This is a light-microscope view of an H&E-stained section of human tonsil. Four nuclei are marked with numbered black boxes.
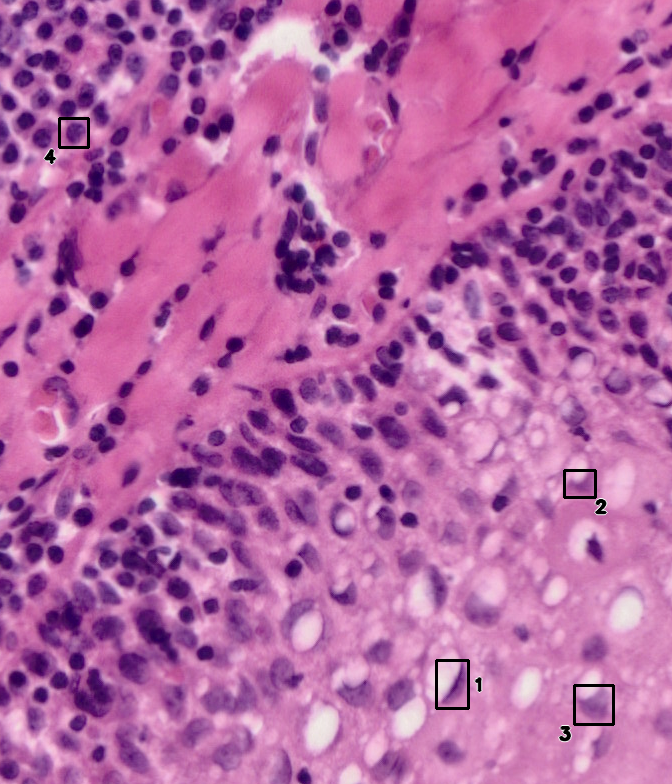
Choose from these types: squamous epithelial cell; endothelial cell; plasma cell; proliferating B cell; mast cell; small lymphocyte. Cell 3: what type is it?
squamous epithelial cell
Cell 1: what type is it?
squamous epithelial cell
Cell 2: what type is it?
squamous epithelial cell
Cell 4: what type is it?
plasma cell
